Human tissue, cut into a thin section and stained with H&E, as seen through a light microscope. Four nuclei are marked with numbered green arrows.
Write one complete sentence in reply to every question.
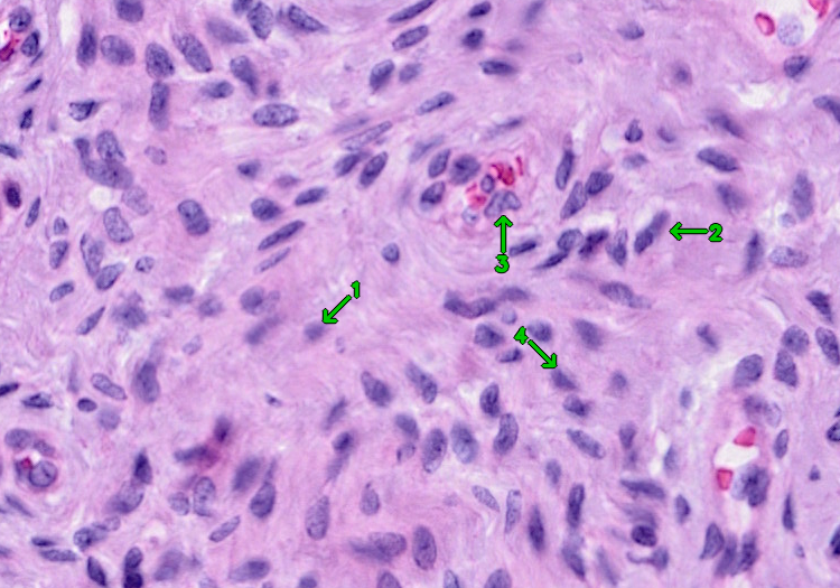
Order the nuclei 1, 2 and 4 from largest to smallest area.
Going from the biggest nucleus down to the smallest gives 2, 4, 1.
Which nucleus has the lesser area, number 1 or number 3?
It is nucleus 1; nucleus 3 has about 2 times its area.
